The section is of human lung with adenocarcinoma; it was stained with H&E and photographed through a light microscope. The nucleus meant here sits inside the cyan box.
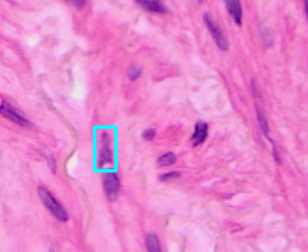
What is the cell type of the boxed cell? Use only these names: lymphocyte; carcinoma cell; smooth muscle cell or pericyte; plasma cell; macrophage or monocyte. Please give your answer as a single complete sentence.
It is as a smooth muscle cell or pericyte that the boxed cell is recorded.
